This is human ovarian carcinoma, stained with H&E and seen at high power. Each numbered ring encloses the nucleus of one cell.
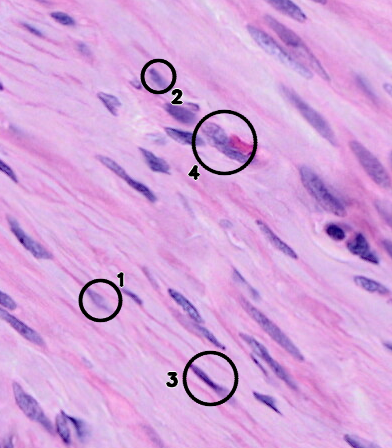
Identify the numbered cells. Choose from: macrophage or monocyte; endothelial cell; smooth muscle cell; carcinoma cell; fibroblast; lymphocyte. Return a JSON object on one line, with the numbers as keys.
{"1": "smooth muscle cell", "2": "smooth muscle cell", "3": "smooth muscle cell", "4": "endothelial cell"}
